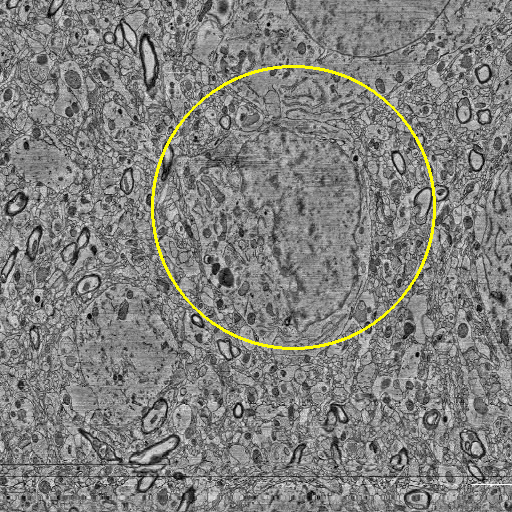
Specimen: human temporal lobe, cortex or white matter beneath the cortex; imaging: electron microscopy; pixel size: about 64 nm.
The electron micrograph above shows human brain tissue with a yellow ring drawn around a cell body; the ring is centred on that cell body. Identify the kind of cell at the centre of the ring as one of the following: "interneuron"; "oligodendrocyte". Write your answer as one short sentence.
The cell at the centre of the ring is an interneuron.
